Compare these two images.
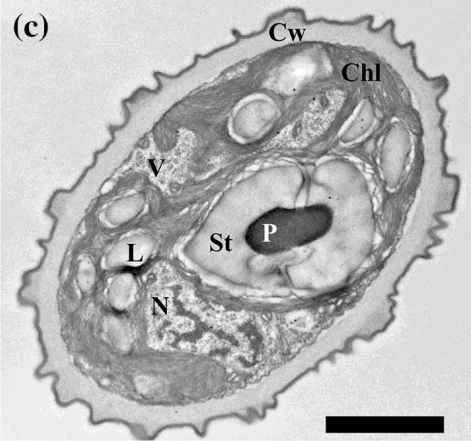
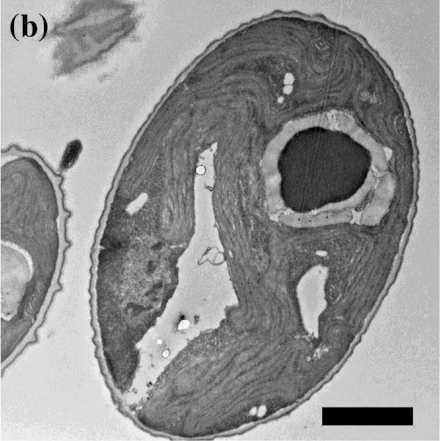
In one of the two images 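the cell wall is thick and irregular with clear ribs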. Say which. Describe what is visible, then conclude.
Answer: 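First image: the cell is surrounded by a thick wall with many projecting ribs of different sizes. Second image: the cell is bounded by a thin wall with only a slightly wavy surface. On this evidence: the first image.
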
